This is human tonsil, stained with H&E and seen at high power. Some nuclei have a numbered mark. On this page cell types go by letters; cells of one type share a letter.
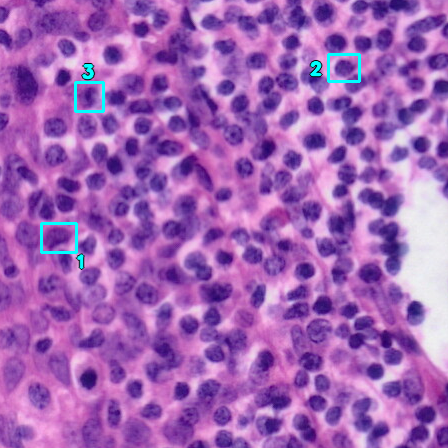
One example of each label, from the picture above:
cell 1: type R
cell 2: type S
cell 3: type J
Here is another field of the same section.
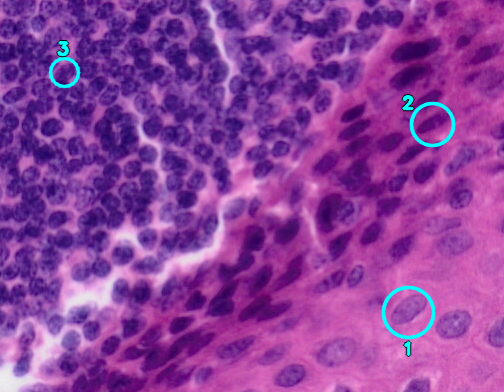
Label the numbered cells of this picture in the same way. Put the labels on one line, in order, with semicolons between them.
type R; type R; type S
